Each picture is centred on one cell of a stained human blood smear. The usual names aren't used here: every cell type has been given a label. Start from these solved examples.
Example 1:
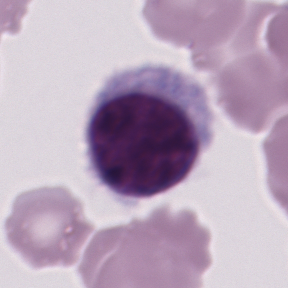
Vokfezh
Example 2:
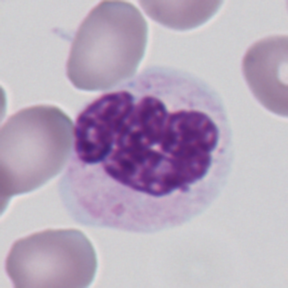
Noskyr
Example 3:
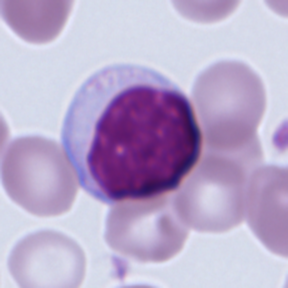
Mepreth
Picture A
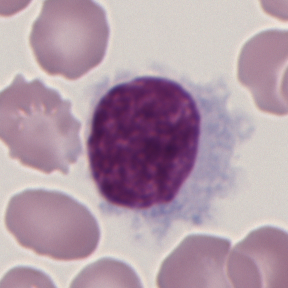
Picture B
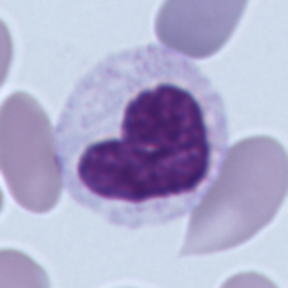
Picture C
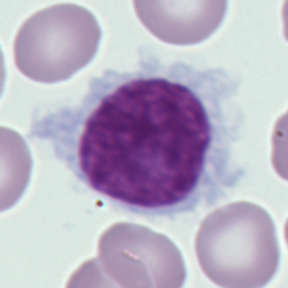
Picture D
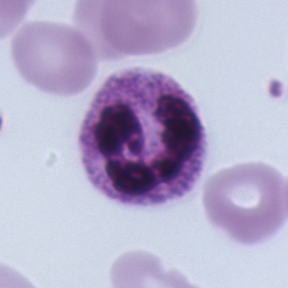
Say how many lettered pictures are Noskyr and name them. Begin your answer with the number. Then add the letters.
2, namely B, D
